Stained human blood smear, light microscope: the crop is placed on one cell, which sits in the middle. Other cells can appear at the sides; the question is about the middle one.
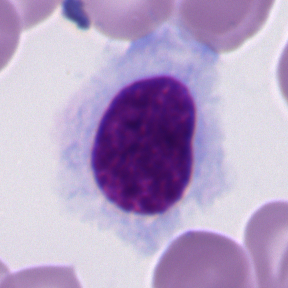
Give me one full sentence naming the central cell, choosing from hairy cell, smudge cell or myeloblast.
The middle of this crop holds a hairy cell.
